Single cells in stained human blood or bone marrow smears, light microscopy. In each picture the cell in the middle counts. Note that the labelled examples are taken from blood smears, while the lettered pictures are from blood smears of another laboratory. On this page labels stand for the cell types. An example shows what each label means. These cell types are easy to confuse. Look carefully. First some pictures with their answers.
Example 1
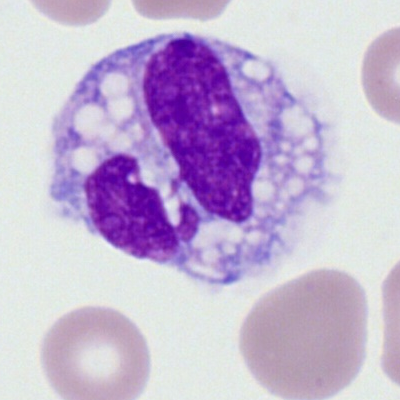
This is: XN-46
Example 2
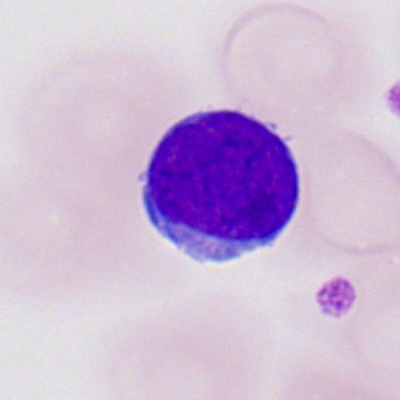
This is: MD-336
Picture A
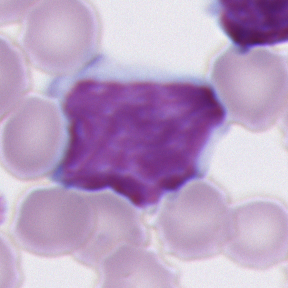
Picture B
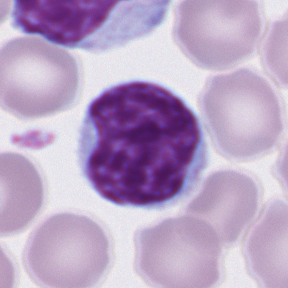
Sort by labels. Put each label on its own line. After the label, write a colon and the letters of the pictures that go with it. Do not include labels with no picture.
MD-336: A, B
